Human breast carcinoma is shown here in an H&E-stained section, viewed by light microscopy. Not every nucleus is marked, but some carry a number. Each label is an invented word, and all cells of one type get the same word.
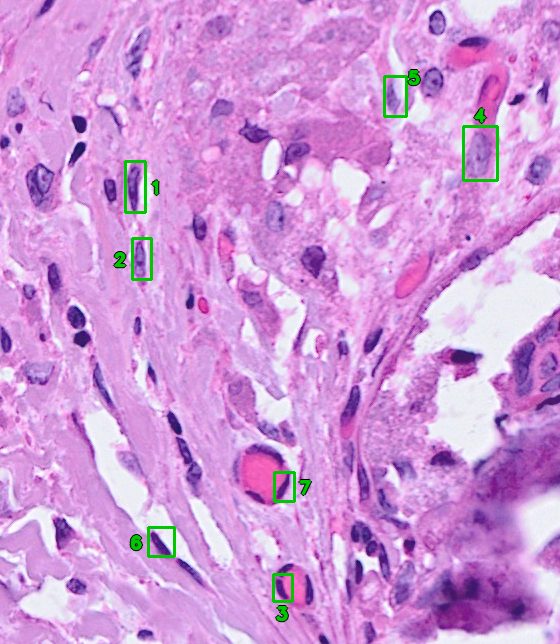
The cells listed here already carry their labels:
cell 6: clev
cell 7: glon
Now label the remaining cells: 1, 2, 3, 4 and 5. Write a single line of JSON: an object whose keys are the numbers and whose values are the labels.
{"1": "clev", "2": "clev", "3": "glon", "4": "glon", "5": "clev"}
